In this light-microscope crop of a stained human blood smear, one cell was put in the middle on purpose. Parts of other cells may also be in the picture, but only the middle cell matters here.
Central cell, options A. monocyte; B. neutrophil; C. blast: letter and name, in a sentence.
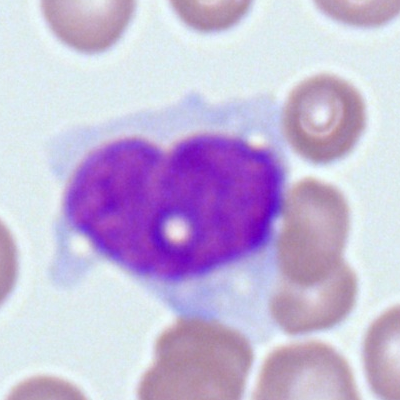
The right choice is option A: the cell in the middle is a monocyte.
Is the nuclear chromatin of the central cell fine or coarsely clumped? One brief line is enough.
The chromatin remains finely textured, with no coarse clumps to speak of.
